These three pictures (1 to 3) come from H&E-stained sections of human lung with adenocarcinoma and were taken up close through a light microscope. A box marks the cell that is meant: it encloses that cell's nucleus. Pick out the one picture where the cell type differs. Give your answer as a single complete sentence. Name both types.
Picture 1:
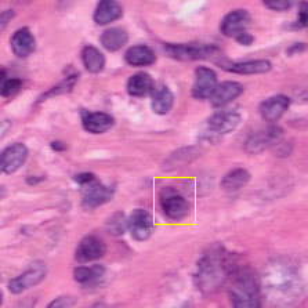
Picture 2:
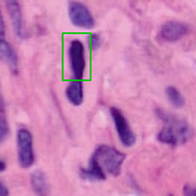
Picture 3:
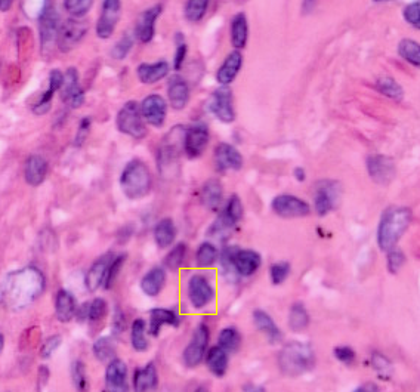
The others show lymphocytes, but picture 1 shows a plasma cell.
